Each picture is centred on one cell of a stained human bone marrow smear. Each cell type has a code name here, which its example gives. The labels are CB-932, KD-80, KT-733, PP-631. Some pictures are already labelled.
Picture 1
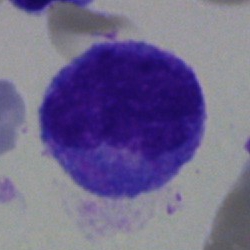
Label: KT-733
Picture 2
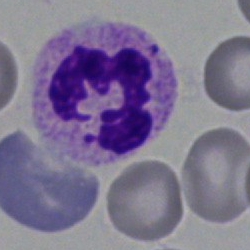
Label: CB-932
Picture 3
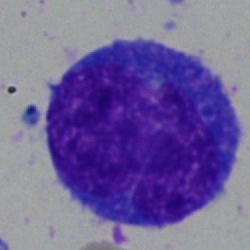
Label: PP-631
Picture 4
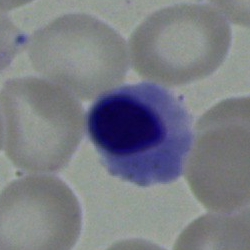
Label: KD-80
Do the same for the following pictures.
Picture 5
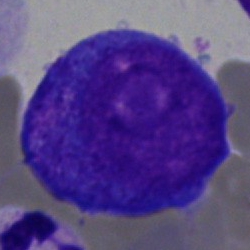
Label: KT-733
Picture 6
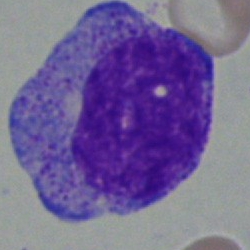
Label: KT-733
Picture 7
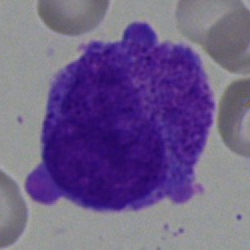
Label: PP-631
